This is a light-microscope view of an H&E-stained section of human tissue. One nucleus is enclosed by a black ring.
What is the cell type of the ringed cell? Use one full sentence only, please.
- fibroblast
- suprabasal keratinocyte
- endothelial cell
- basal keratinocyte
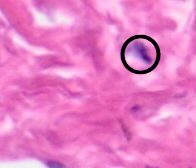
By cell type, the ringed cell is a fibroblast.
